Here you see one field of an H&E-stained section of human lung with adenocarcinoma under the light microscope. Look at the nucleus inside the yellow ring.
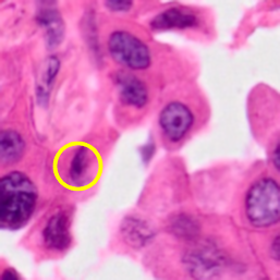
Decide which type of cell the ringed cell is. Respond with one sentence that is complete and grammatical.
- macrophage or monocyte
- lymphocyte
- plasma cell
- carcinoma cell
Recorded by type, the ringed cell is a carcinoma cell.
